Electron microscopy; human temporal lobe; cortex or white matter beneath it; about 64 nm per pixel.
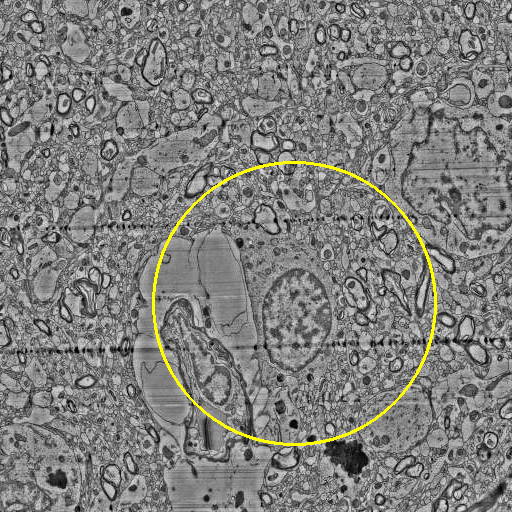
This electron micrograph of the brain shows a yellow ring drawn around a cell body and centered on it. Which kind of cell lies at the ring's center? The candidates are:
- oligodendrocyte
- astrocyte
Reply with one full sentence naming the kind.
The cell lying at the ring's center in this micrograph is an oligodendrocyte.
